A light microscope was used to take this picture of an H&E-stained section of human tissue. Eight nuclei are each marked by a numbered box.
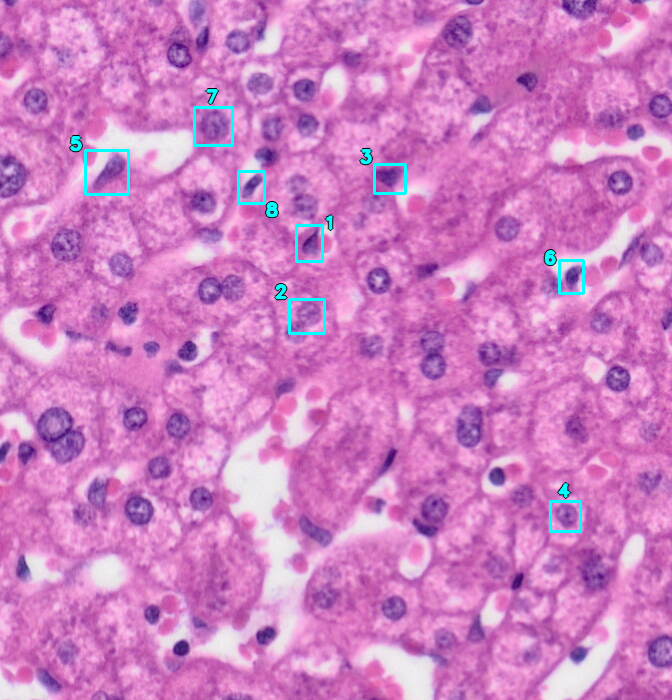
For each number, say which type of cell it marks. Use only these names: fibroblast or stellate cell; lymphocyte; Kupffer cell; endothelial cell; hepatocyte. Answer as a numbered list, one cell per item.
1. endothelial cell
2. hepatocyte
3. fibroblast or stellate cell
4. hepatocyte
5. Kupffer cell
6. lymphocyte
7. hepatocyte
8. lymphocyte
